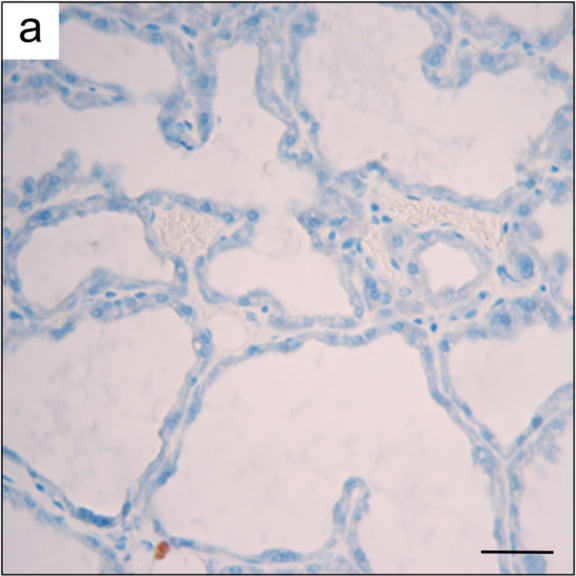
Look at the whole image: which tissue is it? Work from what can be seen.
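Large rounded alveoli lined by a single layer of epithelial cells. Lumens are wide and contain pale secretion. Thin stroma separates adjacent alveoli. That points to this answer: mammary glands.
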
